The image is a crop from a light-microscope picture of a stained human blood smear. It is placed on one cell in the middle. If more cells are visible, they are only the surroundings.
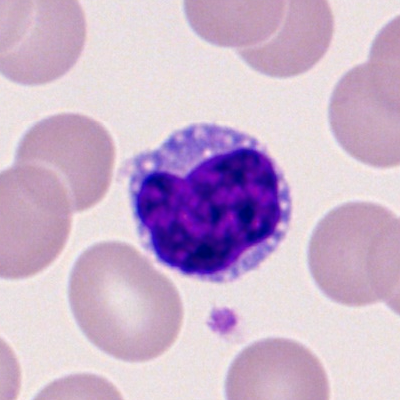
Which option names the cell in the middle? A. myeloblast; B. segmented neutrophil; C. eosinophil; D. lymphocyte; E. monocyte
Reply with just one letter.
D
